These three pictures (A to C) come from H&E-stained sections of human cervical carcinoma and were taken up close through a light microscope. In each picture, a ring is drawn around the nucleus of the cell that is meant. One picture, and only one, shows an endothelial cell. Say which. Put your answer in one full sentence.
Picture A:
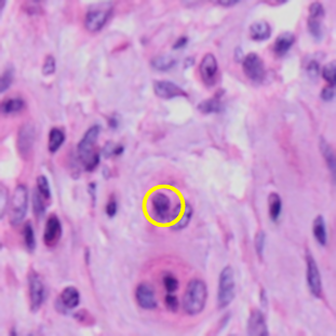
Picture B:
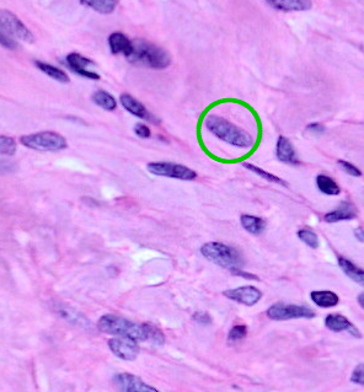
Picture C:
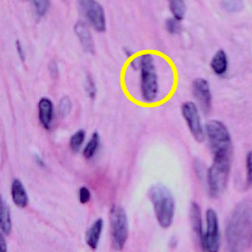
It is picture A that shows the endothelial cell.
